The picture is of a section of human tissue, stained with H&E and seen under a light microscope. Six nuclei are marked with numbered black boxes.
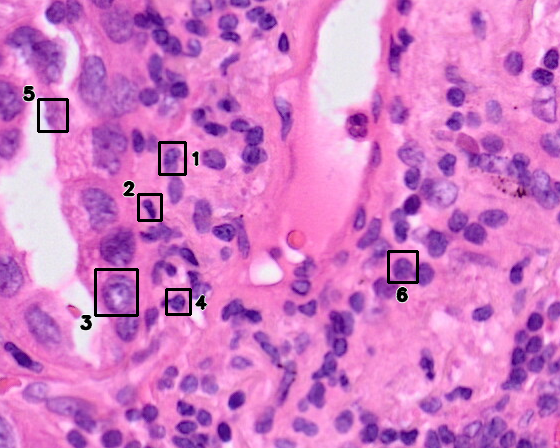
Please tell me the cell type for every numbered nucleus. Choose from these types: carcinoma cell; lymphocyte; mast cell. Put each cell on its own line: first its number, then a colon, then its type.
1: lymphocyte
2: lymphocyte
3: carcinoma cell
4: lymphocyte
5: carcinoma cell
6: lymphocyte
